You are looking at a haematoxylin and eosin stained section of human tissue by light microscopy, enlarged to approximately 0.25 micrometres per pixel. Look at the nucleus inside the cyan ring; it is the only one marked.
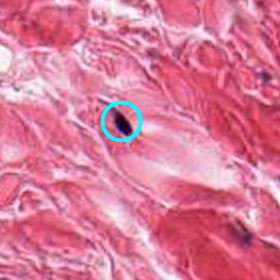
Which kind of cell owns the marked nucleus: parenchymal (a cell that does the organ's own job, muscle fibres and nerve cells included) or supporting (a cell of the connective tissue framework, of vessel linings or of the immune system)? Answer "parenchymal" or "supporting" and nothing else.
supporting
